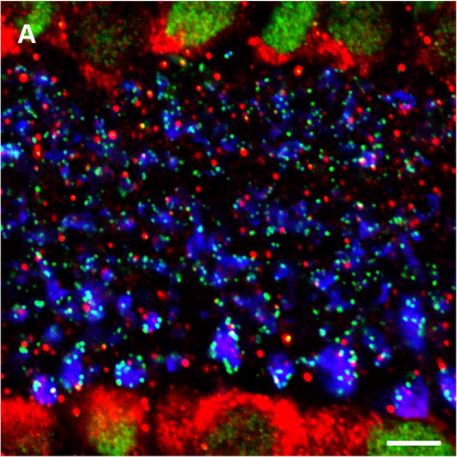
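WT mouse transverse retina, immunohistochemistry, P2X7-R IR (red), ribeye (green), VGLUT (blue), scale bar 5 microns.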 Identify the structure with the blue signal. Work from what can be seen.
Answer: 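Blue patches of a few microns sit within the synaptic layer between two rows of cell bodies. The largest blue patches lie in a row at the bottom of the layer. Green puncta sit on and at the edges of the blue patches.
Answer: bipolar cell terminals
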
